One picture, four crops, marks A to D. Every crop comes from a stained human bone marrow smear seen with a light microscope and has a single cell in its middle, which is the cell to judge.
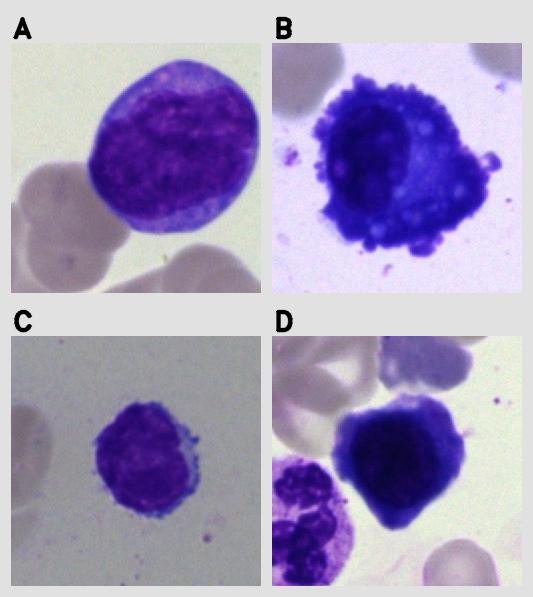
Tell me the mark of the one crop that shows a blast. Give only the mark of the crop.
A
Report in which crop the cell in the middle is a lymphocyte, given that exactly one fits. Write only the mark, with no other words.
C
